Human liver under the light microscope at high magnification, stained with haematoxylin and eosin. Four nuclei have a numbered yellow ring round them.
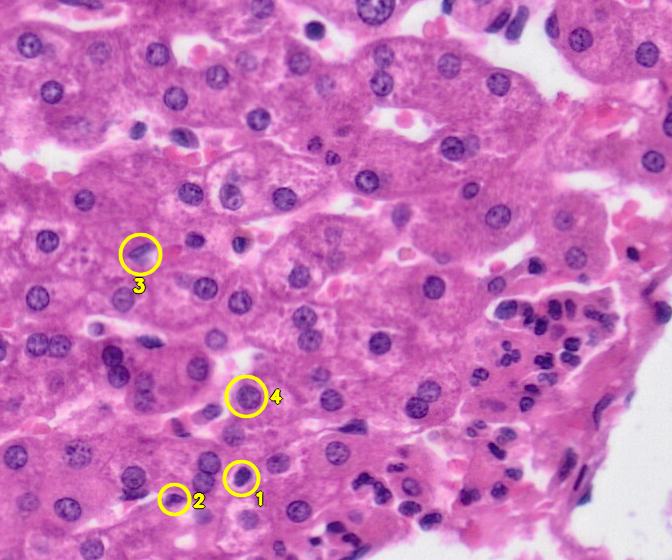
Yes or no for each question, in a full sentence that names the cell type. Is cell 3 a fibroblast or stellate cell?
No, as for cell 3, it is an endothelial cell and not a fibroblast or stellate cell.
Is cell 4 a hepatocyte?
Yes, the cell at marker 4 is a hepatocyte.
